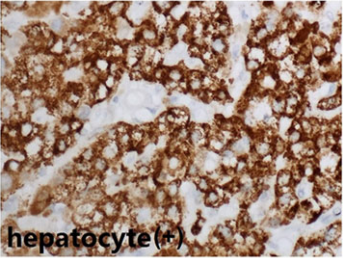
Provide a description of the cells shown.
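This shows tumor cells arranged in broad trabeculae and sheets divided by narrow pale stromal bands. Nearly every tumor cell has a dense, granular brown stain filling its cytoplasm. Numerous small clear vacuoles are scattered through the stained cytoplasm, giving it a bubbly texture. Nuclei are round and partly hidden by the dark brown granules. The thin strands of stroma between the trabeculae are unstained.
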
